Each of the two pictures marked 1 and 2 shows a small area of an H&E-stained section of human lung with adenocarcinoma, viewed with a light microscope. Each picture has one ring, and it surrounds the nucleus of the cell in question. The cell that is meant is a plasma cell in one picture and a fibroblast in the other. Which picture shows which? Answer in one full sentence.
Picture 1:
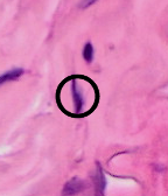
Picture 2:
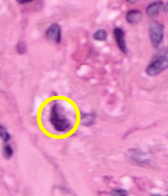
It is picture 1 that shows a fibroblast, and picture 2 that shows a plasma cell.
